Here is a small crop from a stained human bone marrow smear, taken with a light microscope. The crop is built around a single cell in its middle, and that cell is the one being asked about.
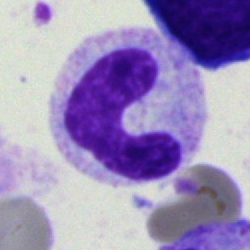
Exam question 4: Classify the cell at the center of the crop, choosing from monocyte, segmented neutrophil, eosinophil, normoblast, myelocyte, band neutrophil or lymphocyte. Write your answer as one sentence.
Classification of the middle cell gives a band neutrophil.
